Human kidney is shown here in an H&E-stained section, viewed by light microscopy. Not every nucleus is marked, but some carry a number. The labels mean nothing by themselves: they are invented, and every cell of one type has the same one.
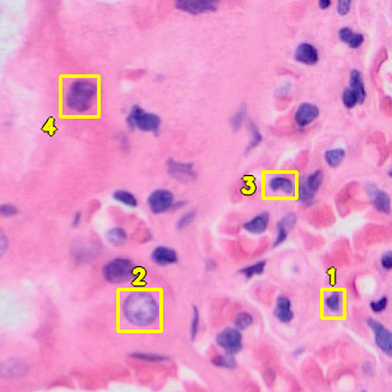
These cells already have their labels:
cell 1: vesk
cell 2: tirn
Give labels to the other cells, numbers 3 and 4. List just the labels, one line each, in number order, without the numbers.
vesk
tirn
